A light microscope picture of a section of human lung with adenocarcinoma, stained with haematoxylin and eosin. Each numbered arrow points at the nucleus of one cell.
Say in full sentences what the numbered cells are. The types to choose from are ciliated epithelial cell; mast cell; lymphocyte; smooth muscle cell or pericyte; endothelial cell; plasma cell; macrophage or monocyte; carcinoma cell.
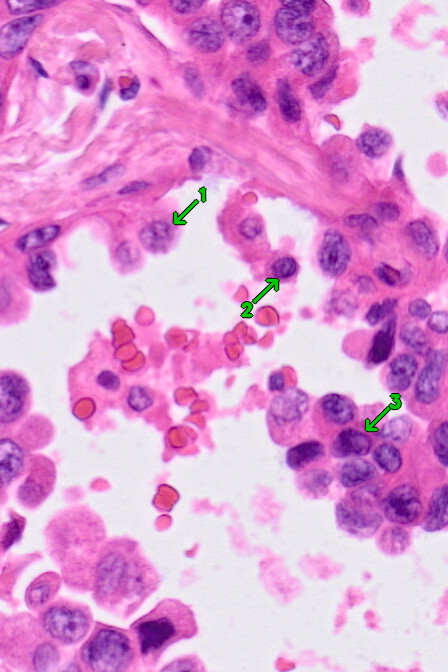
Cells 1 and 3 are carcinoma cells. Cell 2 is a macrophage or monocyte.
